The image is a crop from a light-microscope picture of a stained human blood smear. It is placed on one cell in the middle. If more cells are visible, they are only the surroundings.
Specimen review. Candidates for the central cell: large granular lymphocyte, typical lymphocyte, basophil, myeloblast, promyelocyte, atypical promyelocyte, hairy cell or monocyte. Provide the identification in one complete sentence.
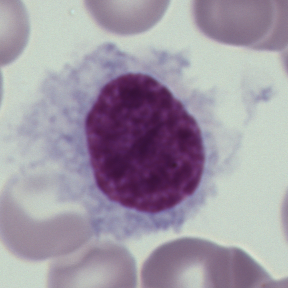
Standing at the centre of this crop is a hairy cell.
